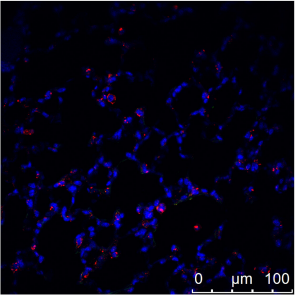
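This is a fluorescence image of lung tissue, where blue dots are the nuclei of the cells lining the alveolar walls. The nuclei lie in thin, branching strands with dark, empty spaces between them, which are the air spaces of the alveoli. Scattered here and there among the walls are small cells with red staining, mostly as dots or small patches. Green is scarcely seen, and few if any cells show a yellow rim where green and red would overlap. The overall pattern is of open, lacy lung tissue with sparse red-marked cells.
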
